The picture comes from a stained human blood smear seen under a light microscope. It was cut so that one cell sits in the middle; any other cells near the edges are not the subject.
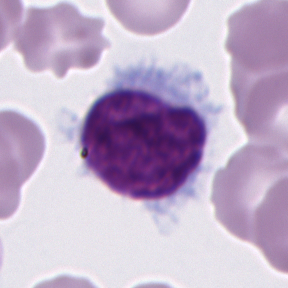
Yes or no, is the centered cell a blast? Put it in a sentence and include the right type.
No, the cell in the middle should be called a hairy cell instead of a blast.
